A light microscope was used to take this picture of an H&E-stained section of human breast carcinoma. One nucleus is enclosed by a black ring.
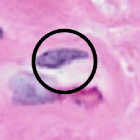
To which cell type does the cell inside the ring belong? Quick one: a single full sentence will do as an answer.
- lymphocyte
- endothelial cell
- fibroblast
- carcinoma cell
The category to which the cell inside the ring belongs is that of an endothelial cell.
